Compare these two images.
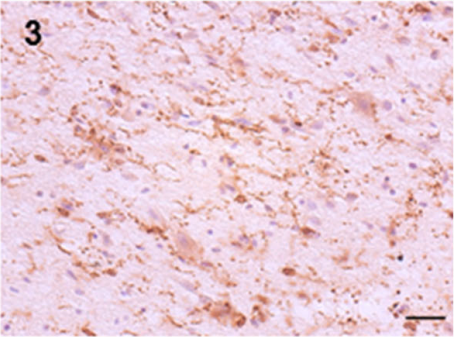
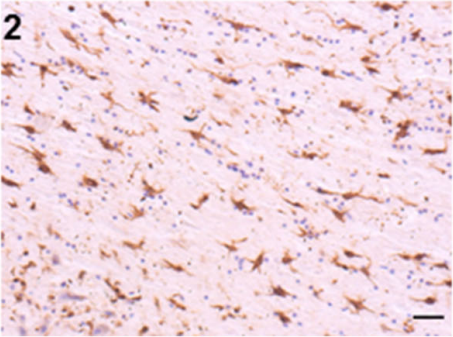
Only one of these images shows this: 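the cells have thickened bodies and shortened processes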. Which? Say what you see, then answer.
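First image: brown cells with slender bodies and long, fine branching processes. Second image: brown cells with compact, thick bodies and short stubby processes. On this evidence: the second image.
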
